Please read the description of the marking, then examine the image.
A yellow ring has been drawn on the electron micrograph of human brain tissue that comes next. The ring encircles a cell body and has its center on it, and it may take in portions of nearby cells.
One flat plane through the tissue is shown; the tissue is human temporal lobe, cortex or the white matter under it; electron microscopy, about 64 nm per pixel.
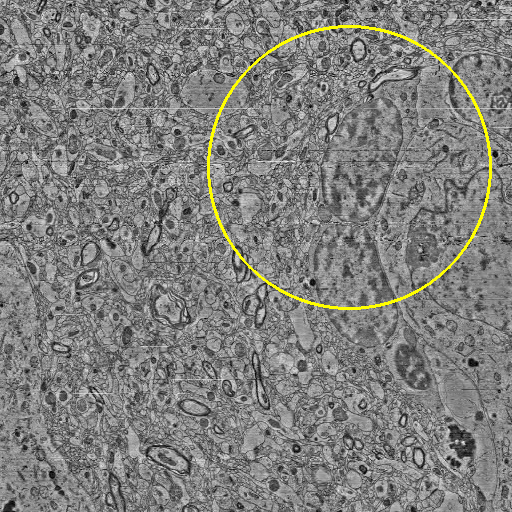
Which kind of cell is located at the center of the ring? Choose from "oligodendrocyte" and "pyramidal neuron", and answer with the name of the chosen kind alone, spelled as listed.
oligodendrocyte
